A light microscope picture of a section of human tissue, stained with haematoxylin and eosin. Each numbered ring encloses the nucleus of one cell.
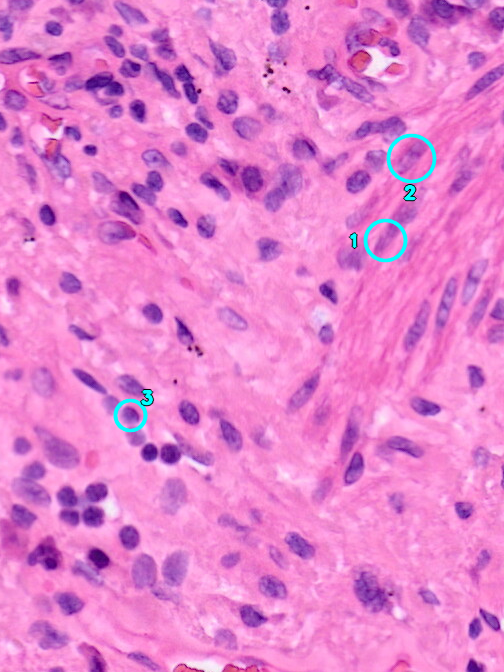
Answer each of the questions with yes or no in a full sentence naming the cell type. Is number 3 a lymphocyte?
Yes, regarding cell number 3, it is a lymphocyte.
